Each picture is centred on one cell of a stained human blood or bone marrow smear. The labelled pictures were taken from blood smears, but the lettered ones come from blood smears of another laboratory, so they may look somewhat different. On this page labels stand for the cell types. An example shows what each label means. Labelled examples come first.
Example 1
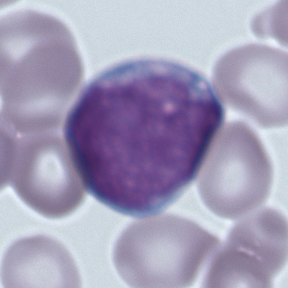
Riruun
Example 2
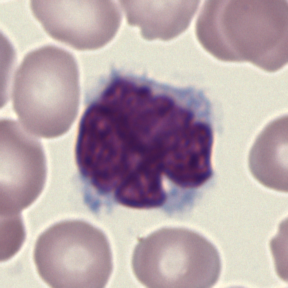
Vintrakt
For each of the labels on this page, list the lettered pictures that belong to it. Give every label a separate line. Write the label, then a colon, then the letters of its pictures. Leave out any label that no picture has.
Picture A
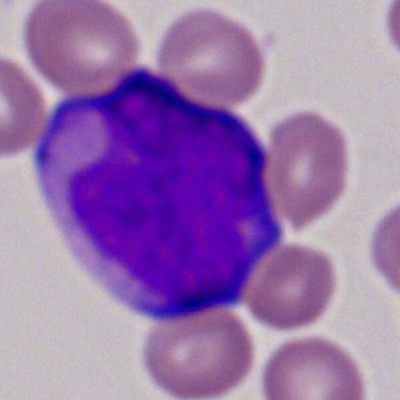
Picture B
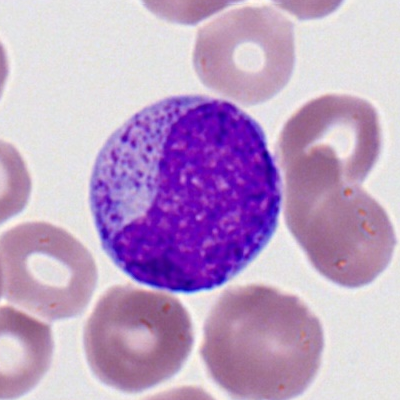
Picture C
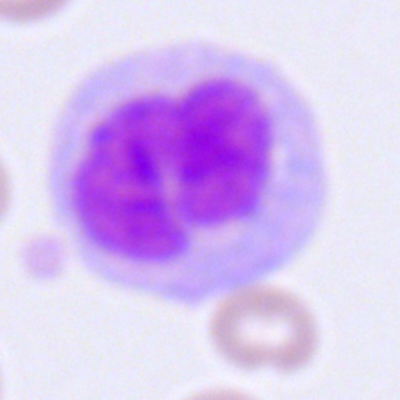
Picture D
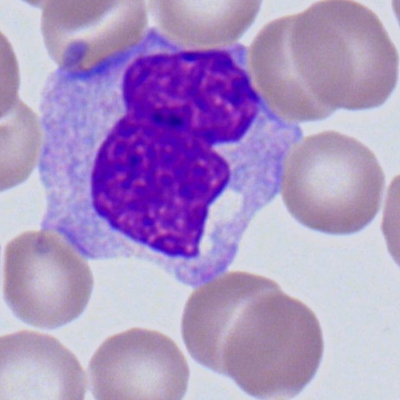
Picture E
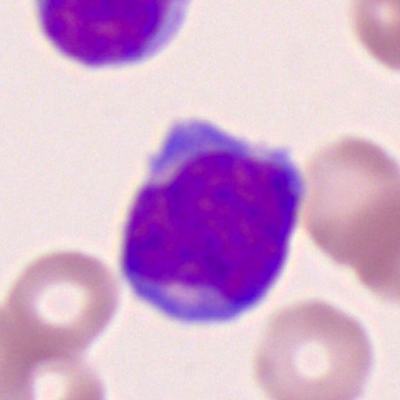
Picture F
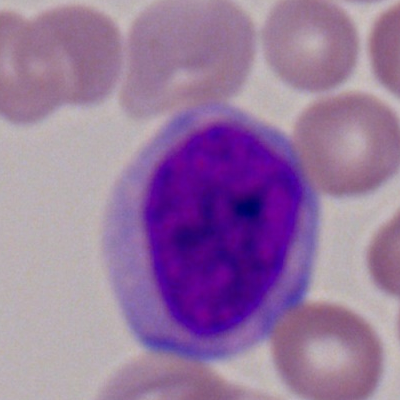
Riruun: A, B, E, F
Vintrakt: C, D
